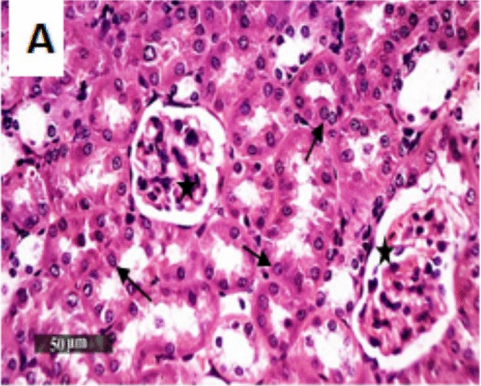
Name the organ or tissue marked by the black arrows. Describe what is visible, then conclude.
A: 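Arrows point to cuboidal cells lining tubule lumens. Cells have round central nuclei and pink cytoplasm.
Answer: tubular epithelium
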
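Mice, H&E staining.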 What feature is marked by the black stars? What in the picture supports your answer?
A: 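Round tufts of densely nucleated capillary loops. Each tuft is surrounded by a thin clear space and a thin outer capsule. That points to this answer: renal corpuscles.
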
